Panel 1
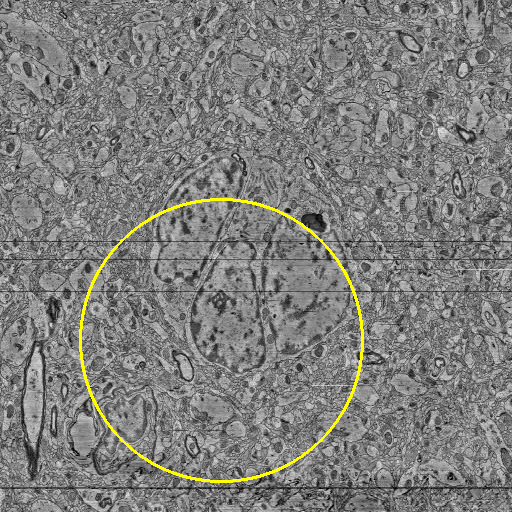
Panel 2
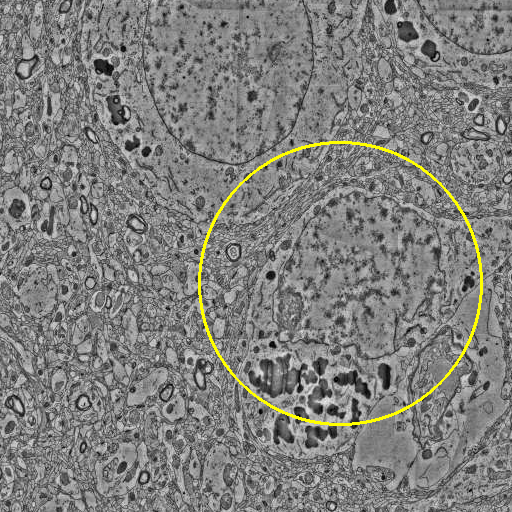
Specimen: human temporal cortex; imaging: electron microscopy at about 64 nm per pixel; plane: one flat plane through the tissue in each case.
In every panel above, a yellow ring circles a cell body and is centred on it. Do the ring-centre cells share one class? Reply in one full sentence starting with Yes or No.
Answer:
No, the two cells at the ring centres in the panels belong to two classes.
